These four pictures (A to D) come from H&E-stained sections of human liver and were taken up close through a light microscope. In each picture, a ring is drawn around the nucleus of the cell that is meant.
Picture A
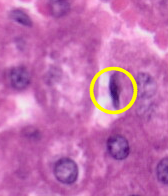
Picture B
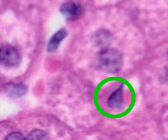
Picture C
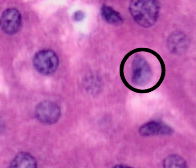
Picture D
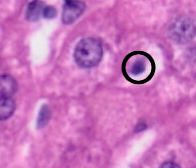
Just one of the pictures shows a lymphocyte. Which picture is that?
D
